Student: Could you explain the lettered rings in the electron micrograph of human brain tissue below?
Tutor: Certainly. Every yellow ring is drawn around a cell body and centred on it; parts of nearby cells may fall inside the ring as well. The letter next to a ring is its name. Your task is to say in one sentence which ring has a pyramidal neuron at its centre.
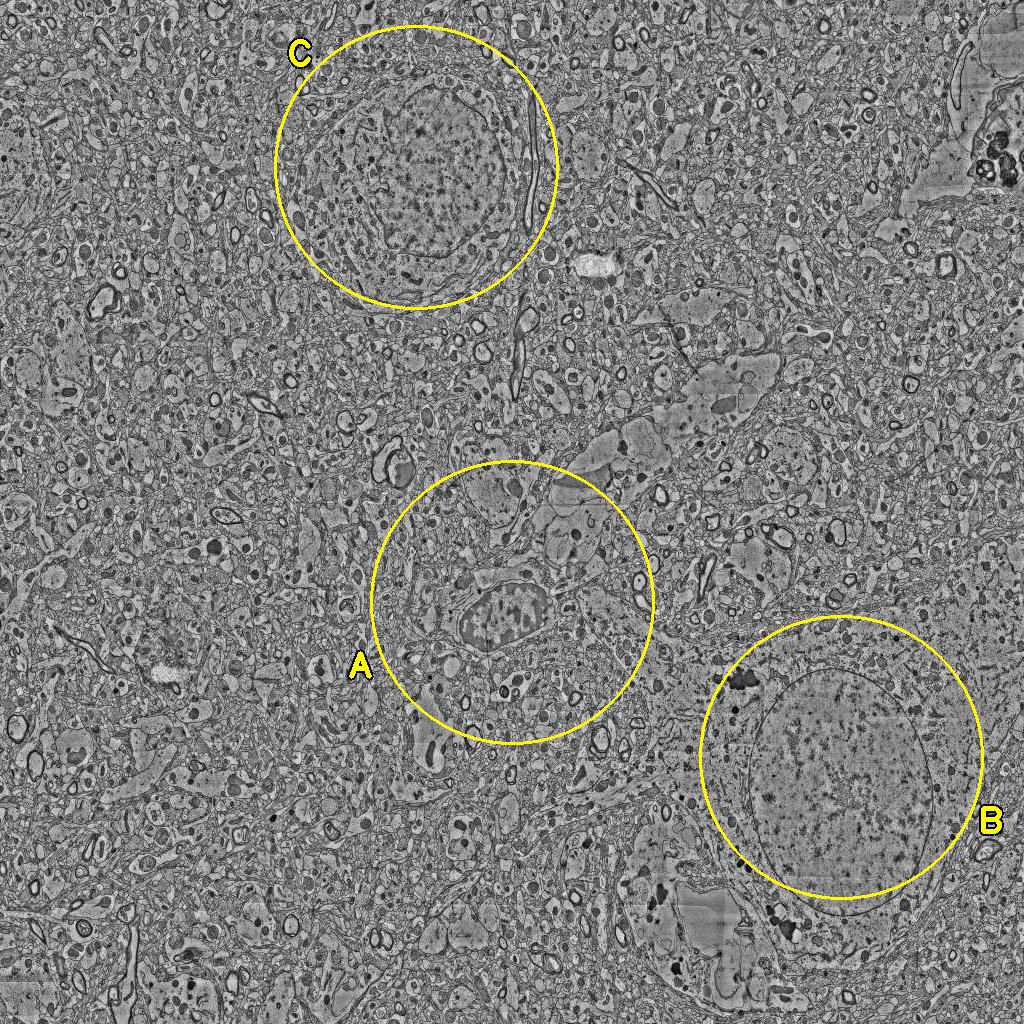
The cell at the centre of ring B is the one.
